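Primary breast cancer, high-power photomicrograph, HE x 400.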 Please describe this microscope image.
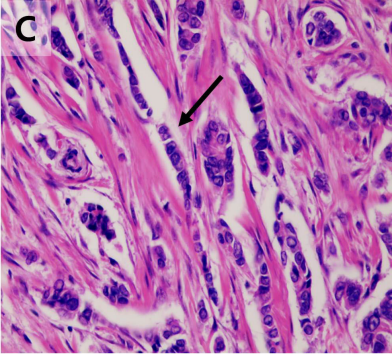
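The cells line up one behind another in narrow clefts between parallel collagen bundles, without forming glands. Some small clusters of a few cells also sit in the stroma.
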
